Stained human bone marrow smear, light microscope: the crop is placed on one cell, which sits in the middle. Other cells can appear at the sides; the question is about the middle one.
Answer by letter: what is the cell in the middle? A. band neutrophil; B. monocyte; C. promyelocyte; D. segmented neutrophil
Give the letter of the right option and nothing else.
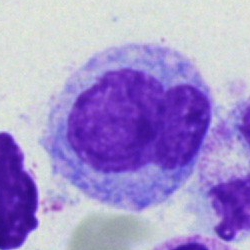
B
